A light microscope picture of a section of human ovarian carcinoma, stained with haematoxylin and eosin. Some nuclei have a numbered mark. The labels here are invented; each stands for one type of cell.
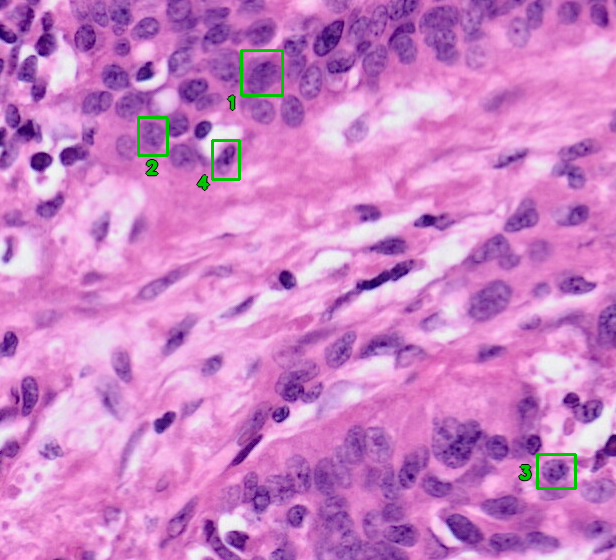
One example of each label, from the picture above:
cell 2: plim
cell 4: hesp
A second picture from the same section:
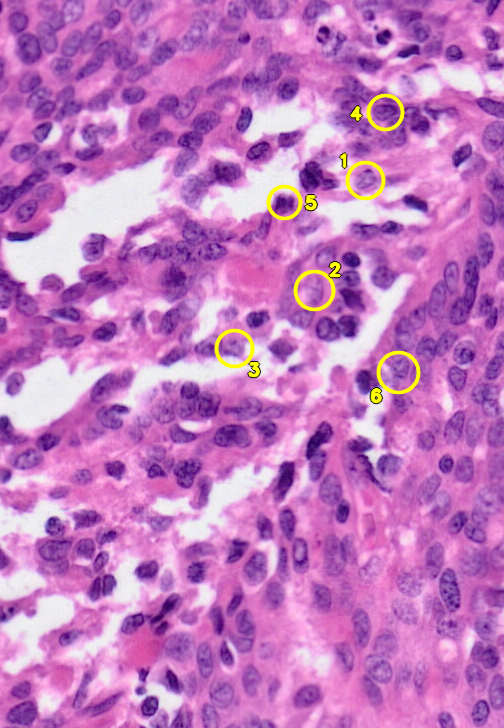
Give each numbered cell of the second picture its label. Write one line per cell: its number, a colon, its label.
1: hesp
2: plim
3: hesp
4: plim
5: plim
6: plim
